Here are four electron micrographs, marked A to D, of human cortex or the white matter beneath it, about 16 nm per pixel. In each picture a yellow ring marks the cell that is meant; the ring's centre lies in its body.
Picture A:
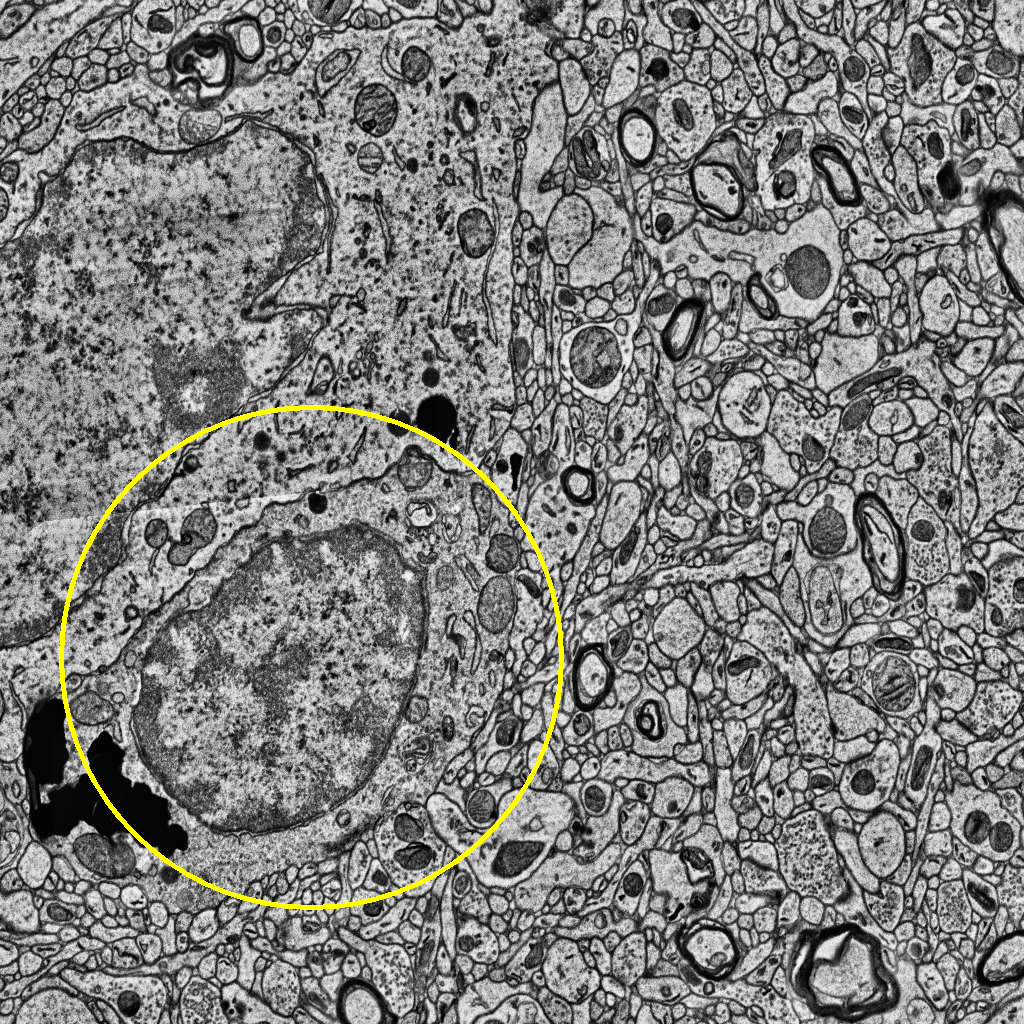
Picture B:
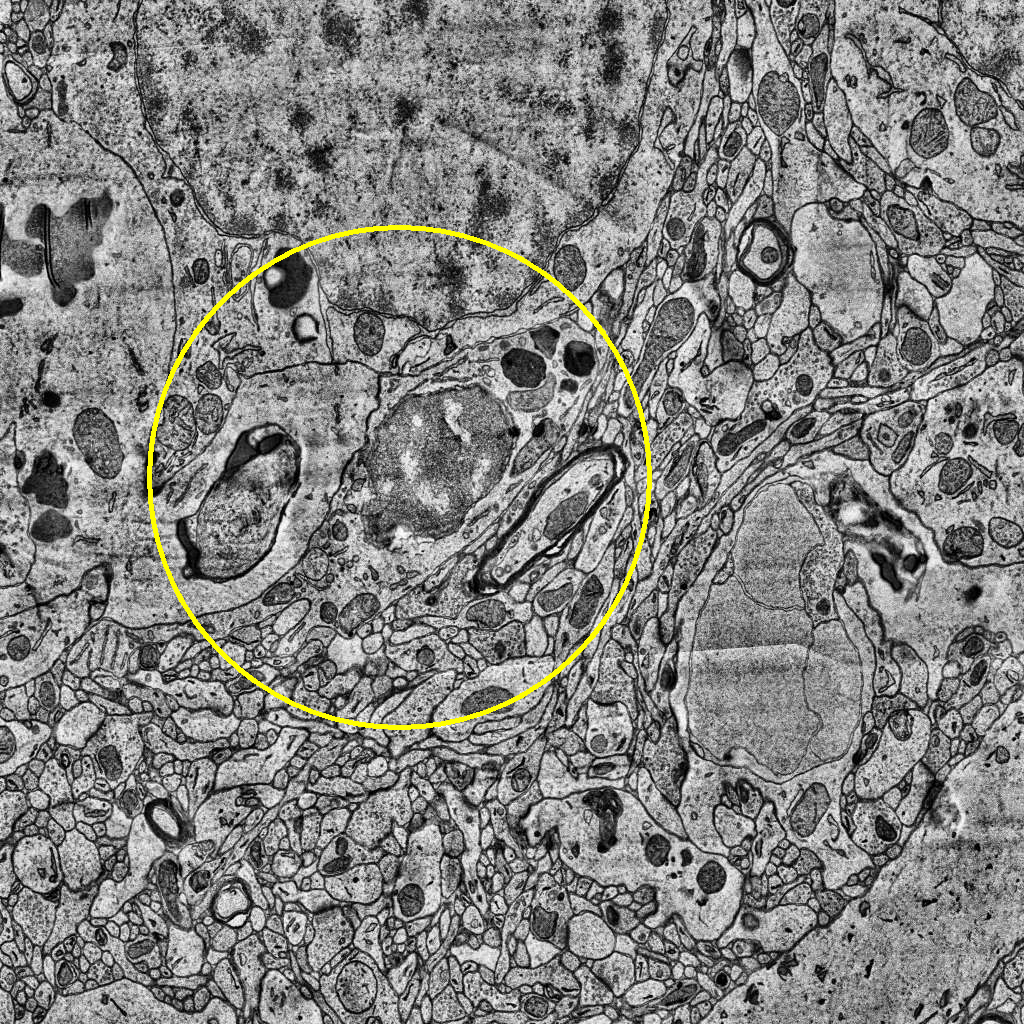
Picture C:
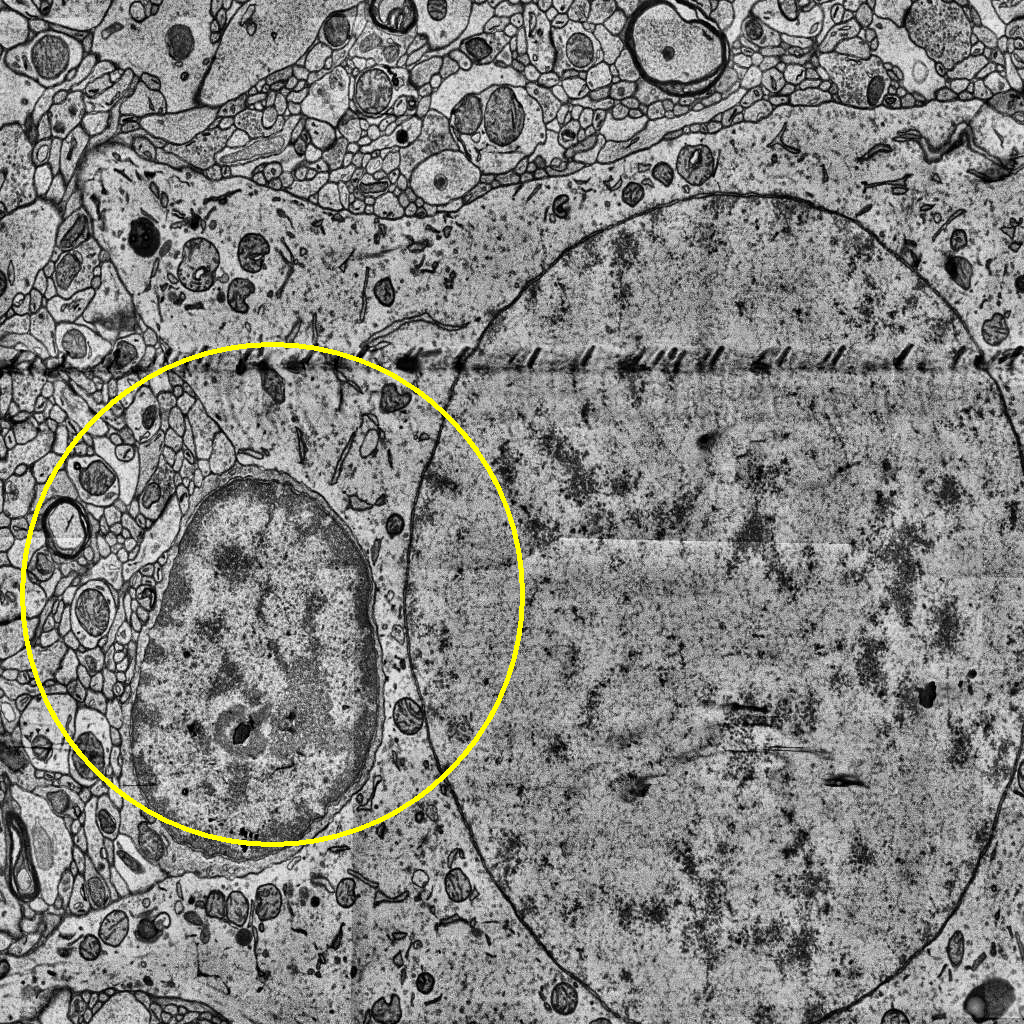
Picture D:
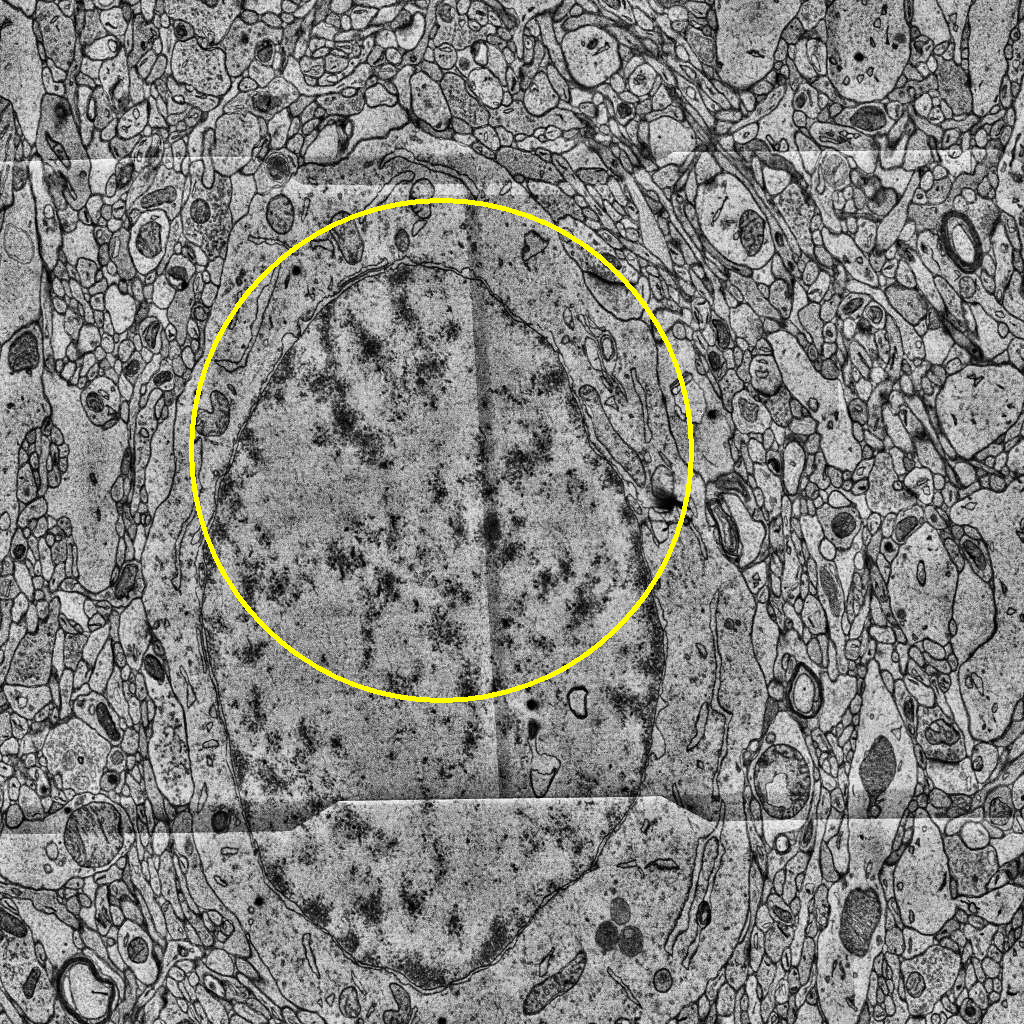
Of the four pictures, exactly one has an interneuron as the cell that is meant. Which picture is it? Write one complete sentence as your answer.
Picture D is the one that shows the interneuron.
